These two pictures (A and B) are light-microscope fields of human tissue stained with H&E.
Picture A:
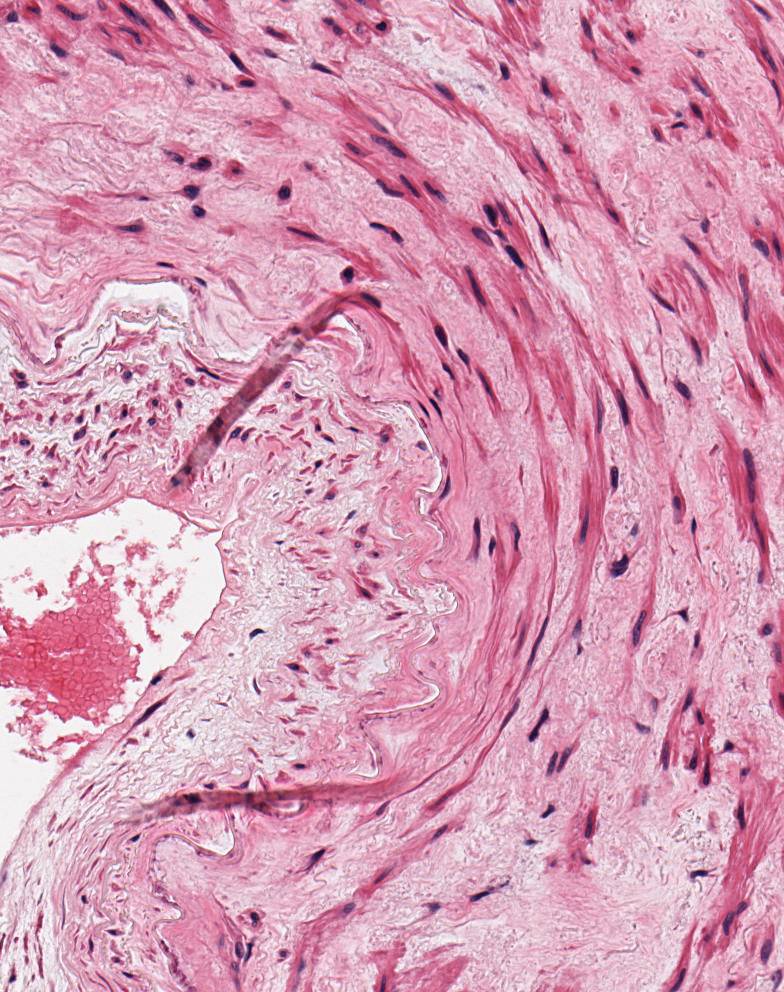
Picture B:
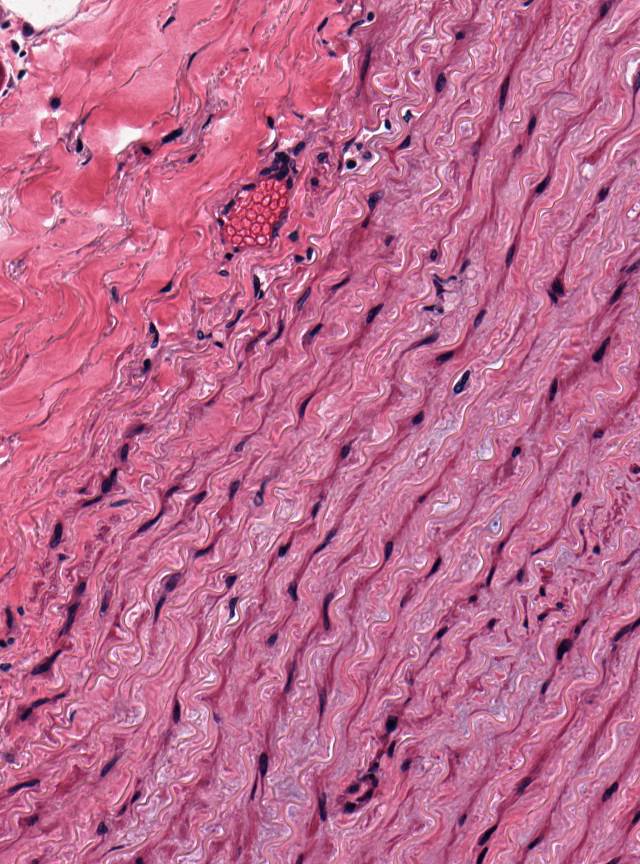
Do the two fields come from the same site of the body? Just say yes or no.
no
